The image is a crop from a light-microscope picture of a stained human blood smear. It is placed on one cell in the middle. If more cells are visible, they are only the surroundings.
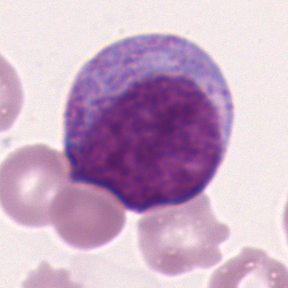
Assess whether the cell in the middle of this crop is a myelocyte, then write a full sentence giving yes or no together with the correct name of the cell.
No, it is a promyelocyte and not a myelocyte that occupies the middle of the crop.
